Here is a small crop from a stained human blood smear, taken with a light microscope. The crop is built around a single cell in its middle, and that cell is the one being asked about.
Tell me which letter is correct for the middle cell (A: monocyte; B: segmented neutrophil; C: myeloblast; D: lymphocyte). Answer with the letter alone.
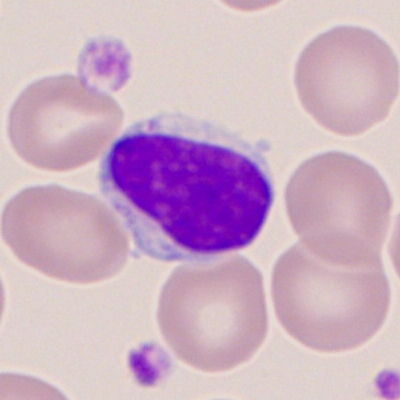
D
